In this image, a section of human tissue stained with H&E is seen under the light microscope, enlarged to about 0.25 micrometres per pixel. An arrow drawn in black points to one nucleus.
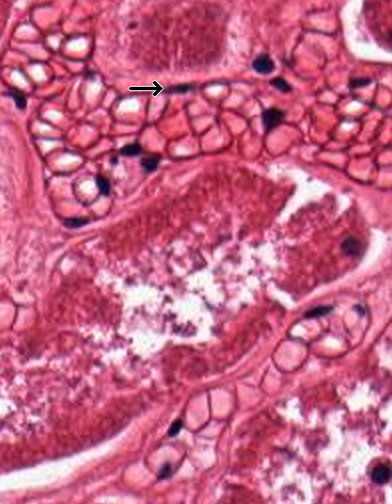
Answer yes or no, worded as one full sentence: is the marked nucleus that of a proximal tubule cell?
No, it is to a supporting cell that the marked nucleus belongs, not to a proximal tubule cell.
